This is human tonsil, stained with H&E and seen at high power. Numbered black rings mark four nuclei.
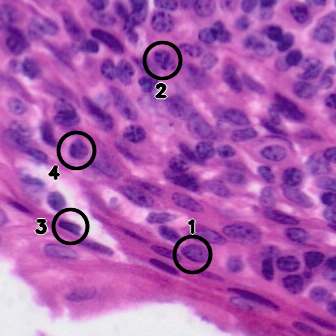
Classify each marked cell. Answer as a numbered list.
1. squamous epithelial cell
2. plasma cell
3. squamous epithelial cell
4. squamous epithelial cell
